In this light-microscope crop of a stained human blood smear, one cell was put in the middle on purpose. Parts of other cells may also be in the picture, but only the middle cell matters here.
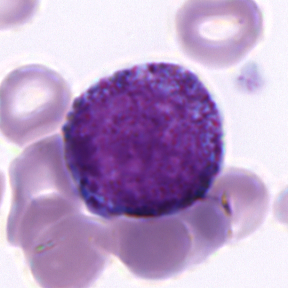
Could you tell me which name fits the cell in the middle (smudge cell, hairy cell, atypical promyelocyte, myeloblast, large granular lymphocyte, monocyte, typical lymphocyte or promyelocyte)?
promyelocyte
